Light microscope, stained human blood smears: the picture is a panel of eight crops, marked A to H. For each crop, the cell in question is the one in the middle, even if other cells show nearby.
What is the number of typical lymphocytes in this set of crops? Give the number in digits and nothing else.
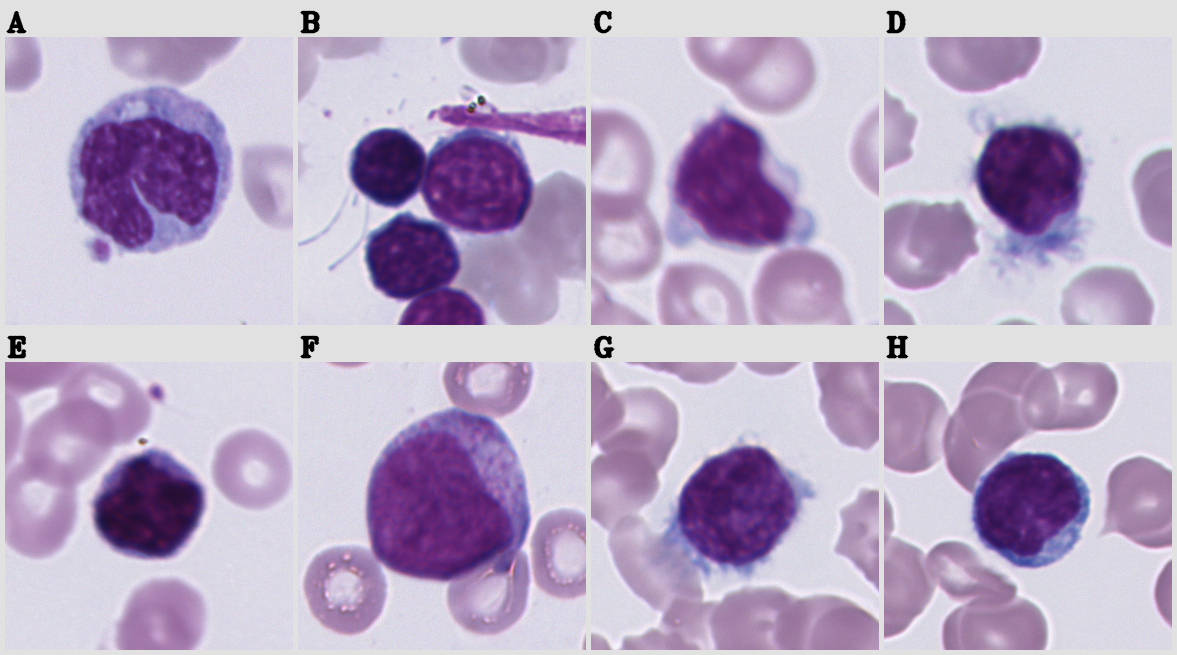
3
